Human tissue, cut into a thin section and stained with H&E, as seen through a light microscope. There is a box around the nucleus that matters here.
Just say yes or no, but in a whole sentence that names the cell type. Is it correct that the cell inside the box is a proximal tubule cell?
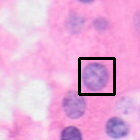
Yes, and to confirm, the cell inside the box is a proximal tubule cell.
